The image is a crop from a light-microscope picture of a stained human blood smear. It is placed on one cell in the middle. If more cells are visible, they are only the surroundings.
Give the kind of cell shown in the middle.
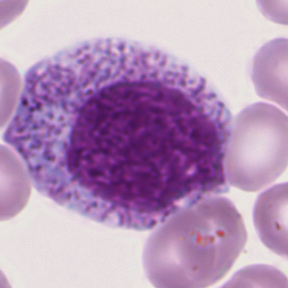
promyelocyte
